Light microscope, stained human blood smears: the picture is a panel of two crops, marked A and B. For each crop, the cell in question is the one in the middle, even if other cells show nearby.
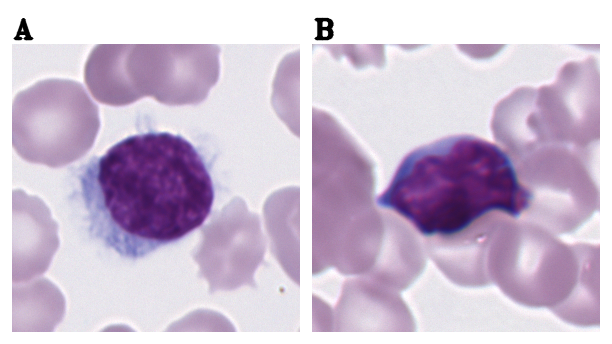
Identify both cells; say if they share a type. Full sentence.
No, crop A is to be identified as a hairy cell and crop B as a typical lymphocyte.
